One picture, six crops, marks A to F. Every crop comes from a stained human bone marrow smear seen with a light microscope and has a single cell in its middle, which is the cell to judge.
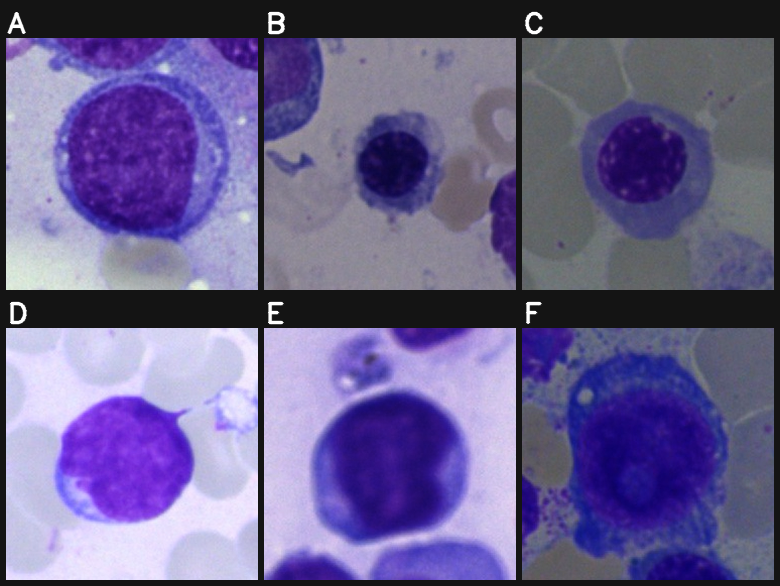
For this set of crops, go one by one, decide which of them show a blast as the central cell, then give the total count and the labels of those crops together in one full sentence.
Under the heading of blasts fall three crops, A, D and E.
